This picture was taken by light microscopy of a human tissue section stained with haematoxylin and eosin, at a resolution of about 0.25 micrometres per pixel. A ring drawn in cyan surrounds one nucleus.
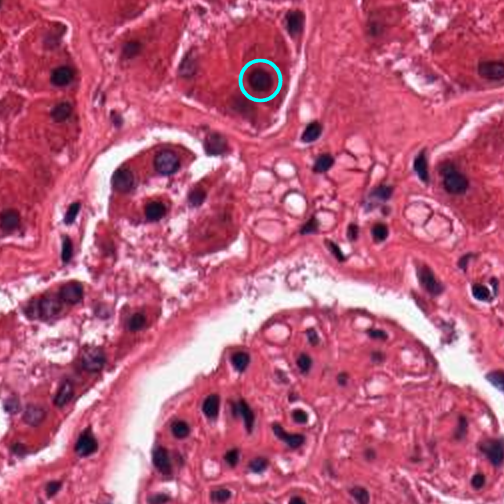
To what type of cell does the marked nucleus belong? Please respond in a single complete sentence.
The nucleus that has been marked belongs to a proximal tubule cell.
